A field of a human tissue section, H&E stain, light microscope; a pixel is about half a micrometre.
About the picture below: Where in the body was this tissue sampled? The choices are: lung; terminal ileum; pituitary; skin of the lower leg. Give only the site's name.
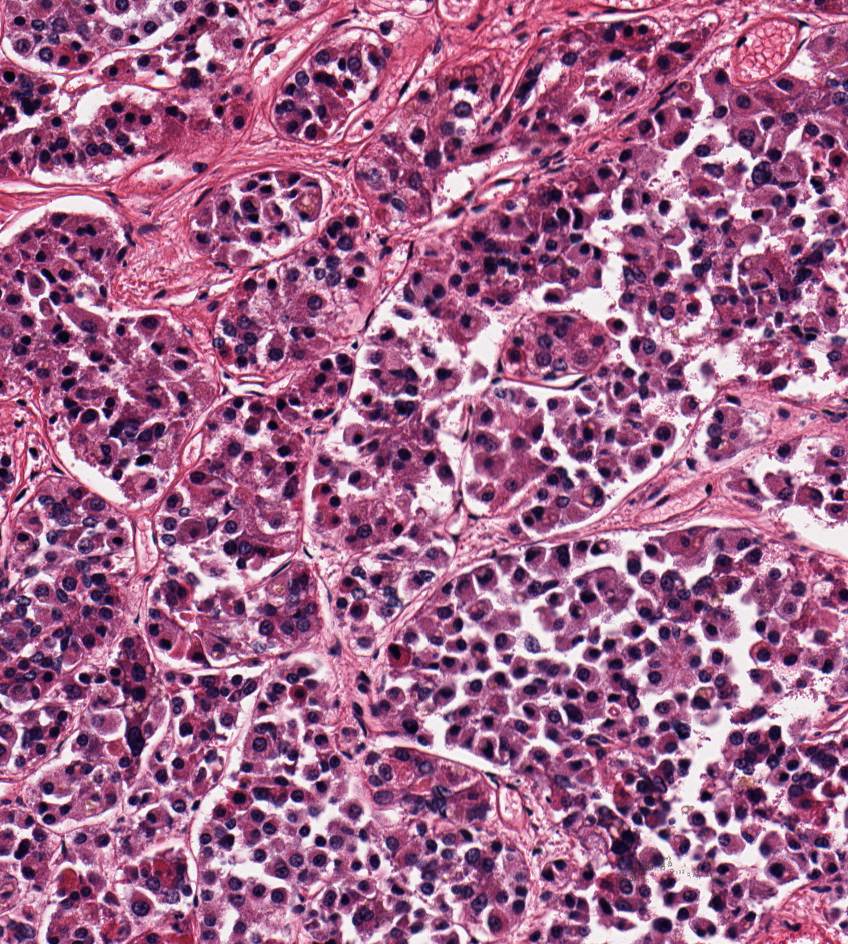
pituitary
